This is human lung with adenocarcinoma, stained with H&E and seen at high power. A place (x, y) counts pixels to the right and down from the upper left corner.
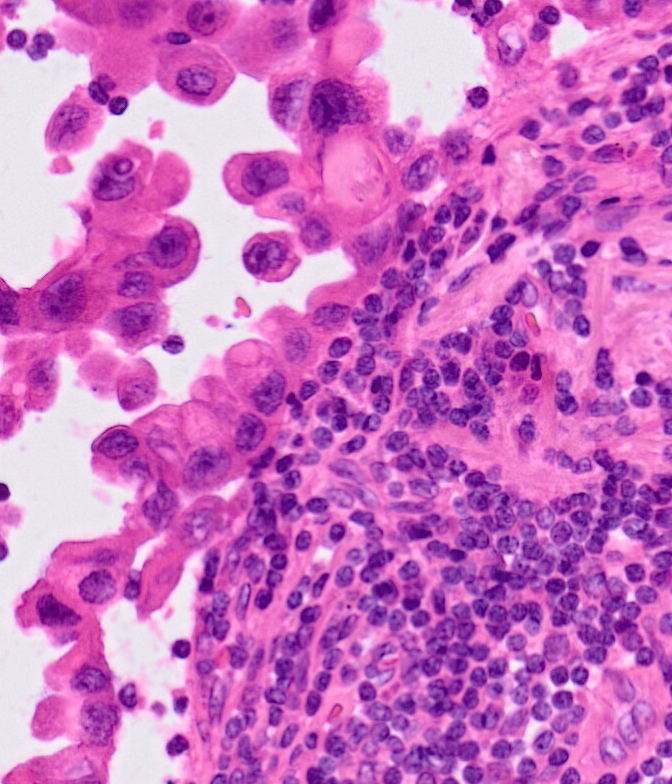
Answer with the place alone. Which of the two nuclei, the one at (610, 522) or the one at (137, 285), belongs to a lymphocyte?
(610, 522)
